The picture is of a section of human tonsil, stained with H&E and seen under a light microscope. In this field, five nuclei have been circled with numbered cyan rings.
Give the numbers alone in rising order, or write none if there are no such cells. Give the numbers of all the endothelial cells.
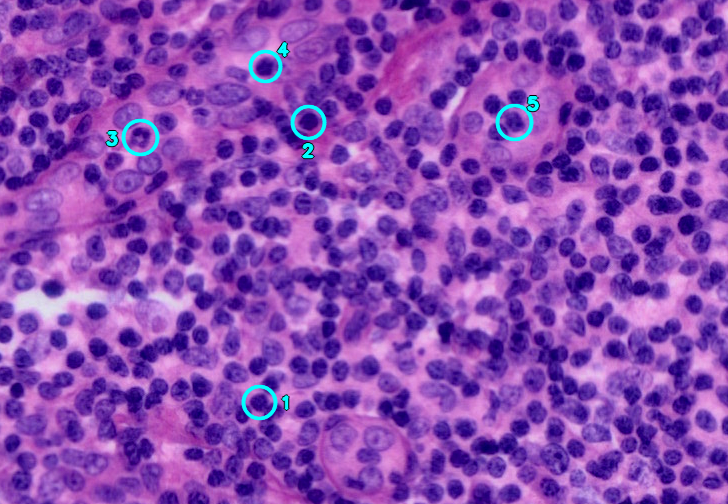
3, 4, 5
